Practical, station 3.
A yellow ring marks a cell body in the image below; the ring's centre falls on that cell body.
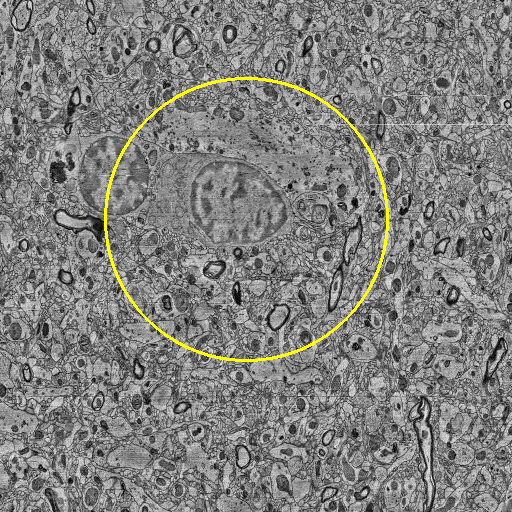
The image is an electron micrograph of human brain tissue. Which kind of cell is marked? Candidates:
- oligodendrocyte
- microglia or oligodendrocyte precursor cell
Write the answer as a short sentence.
The marked cell body is that of an oligodendrocyte.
